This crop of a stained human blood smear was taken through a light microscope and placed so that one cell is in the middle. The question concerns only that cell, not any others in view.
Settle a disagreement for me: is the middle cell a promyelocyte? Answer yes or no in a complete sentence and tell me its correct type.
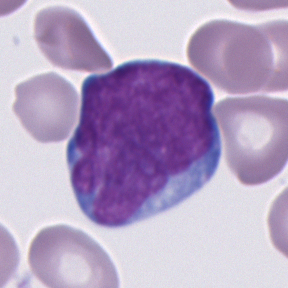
No, the cell occupying the centre is a myeloblast, not a promyelocyte.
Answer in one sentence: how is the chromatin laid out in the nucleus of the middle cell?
Chromatin texture is fine, and coarse clumps are absent.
